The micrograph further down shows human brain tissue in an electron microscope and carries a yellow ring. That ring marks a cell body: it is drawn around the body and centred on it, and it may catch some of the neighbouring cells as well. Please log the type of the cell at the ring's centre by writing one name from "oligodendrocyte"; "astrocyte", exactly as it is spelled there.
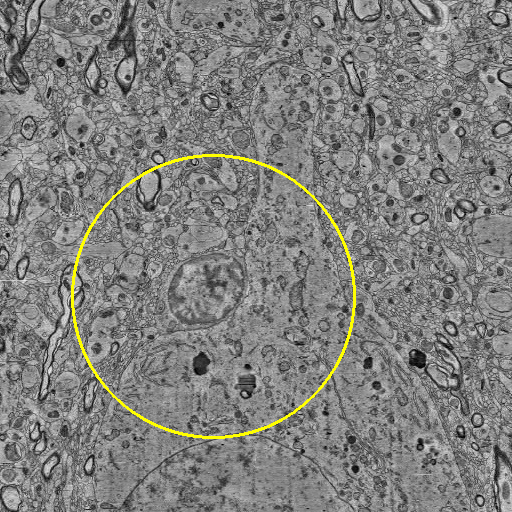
oligodendrocyte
